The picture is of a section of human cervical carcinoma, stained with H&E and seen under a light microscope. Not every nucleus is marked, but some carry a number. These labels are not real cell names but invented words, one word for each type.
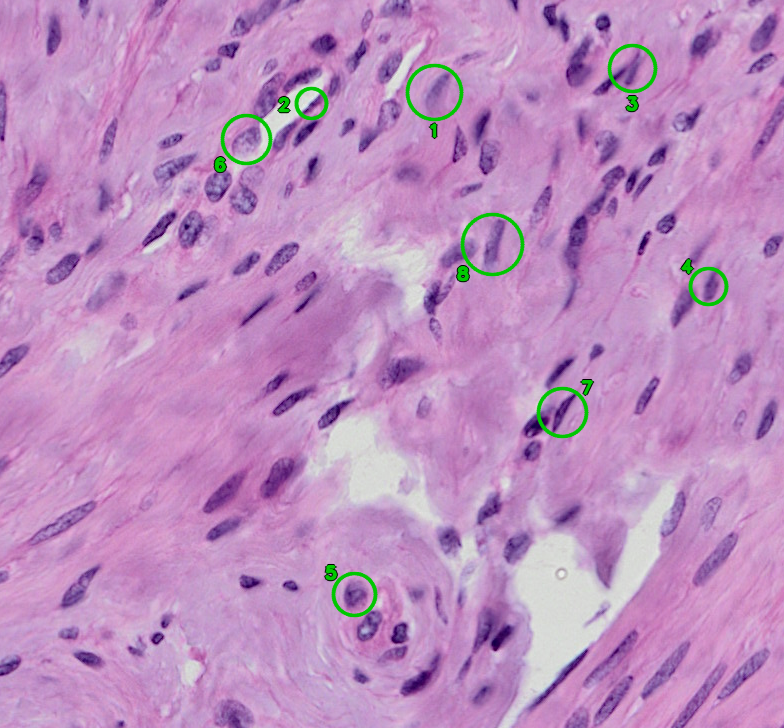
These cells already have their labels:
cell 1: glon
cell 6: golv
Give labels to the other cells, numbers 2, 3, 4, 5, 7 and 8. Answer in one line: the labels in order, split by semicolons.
golv; glon; glon; golv; glon; glon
